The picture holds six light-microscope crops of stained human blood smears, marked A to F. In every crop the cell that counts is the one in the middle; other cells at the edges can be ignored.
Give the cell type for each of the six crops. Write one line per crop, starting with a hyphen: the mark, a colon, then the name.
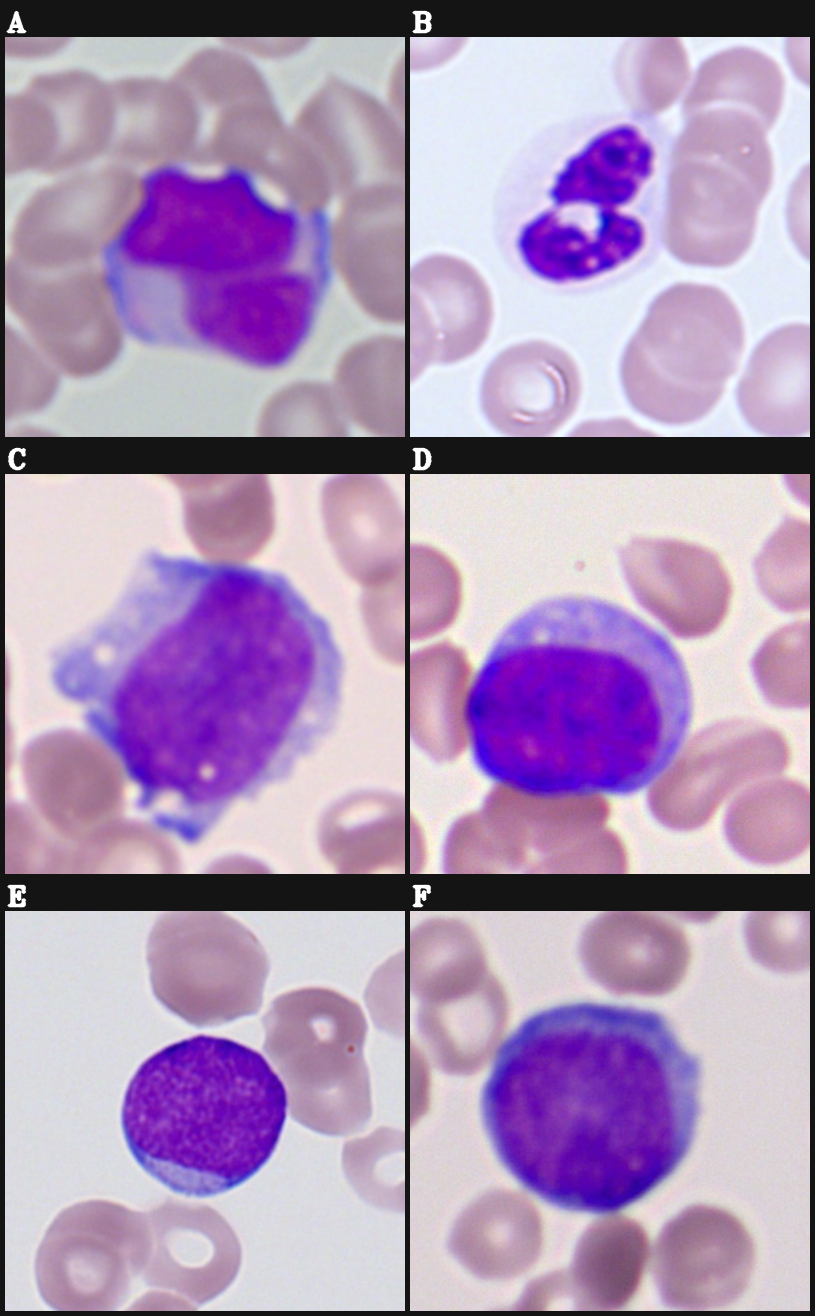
- A: myeloblast
- B: segmented neutrophil
- C: myeloblast
- D: myeloblast
- E: myeloblast
- F: myeloblast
